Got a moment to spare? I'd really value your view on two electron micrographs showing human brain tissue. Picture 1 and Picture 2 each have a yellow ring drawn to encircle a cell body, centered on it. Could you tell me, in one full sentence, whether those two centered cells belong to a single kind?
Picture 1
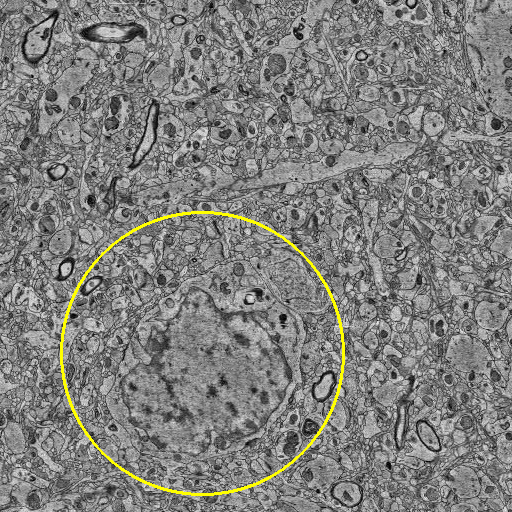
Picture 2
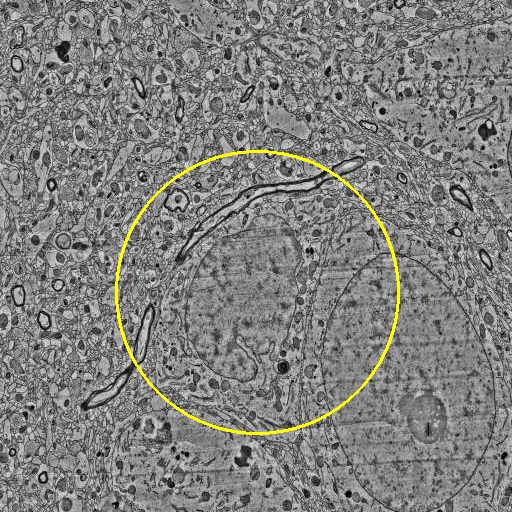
Yes, the two centered cells in Picture 1 and Picture 2 are of a single kind.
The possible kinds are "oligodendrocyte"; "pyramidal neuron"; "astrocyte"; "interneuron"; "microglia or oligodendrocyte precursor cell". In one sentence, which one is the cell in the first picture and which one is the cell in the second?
Each cell, in the first picture and the second, is an interneuron.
